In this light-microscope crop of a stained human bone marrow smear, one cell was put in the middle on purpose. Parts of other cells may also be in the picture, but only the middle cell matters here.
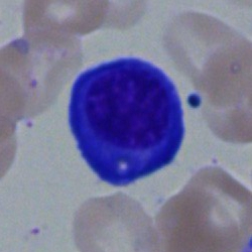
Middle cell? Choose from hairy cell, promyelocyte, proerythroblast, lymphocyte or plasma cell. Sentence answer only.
The single cell at the center of the crop is a plasma cell.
